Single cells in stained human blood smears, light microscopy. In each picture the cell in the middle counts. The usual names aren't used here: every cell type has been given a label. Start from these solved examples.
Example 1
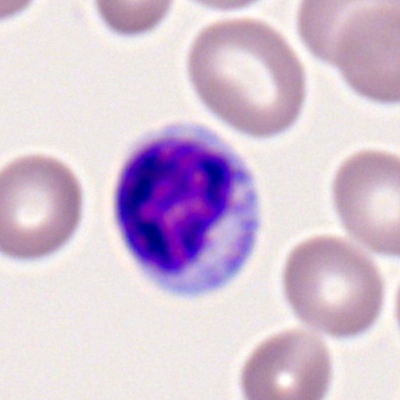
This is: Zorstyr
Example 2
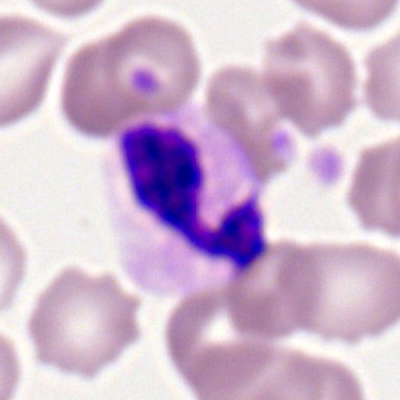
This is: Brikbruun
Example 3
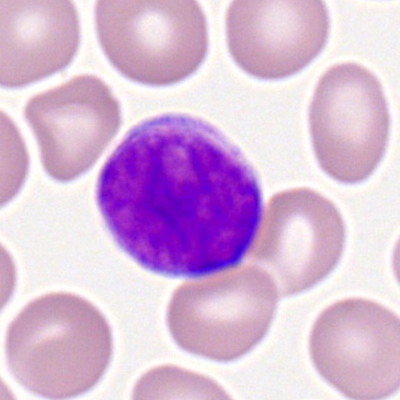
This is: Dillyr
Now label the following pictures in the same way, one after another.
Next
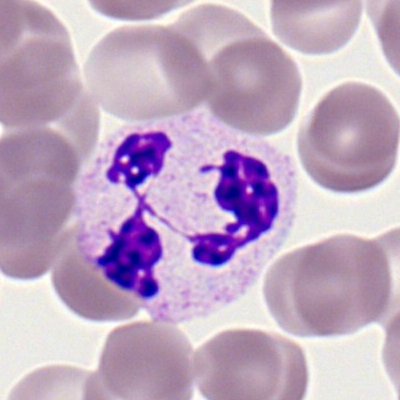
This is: Brikbruun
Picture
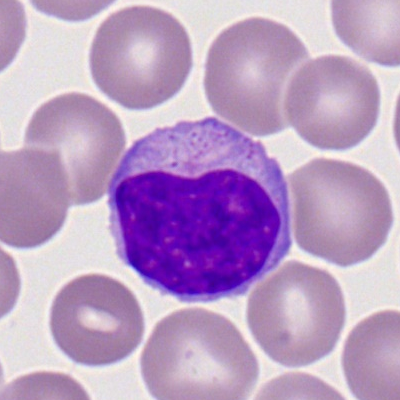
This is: Zorstyr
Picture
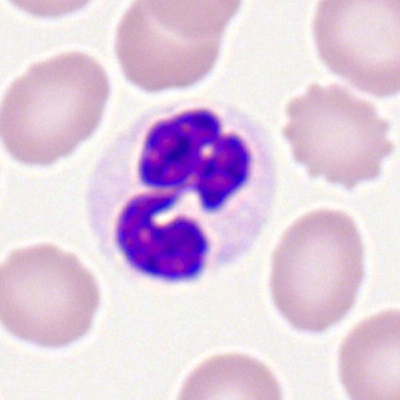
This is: Brikbruun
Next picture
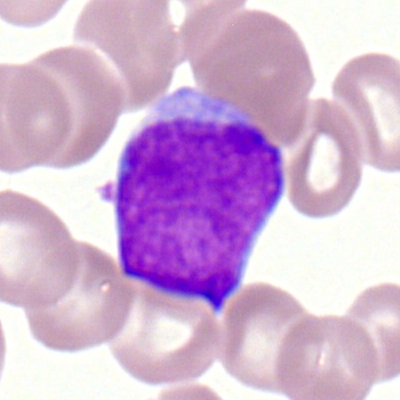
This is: Dillyr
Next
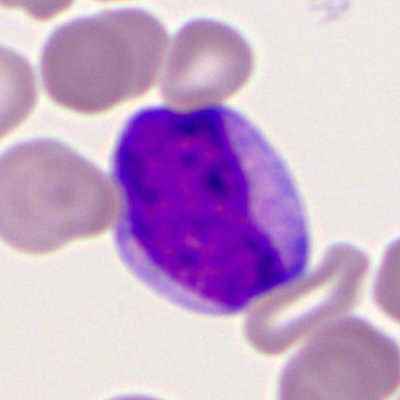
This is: Dillyr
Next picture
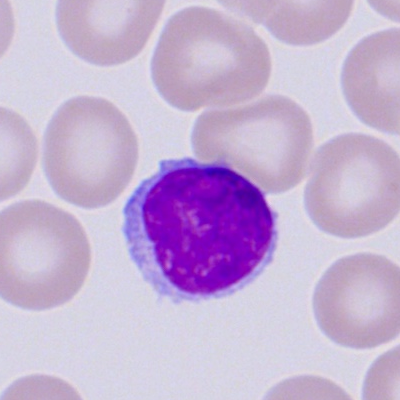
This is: Zorstyr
